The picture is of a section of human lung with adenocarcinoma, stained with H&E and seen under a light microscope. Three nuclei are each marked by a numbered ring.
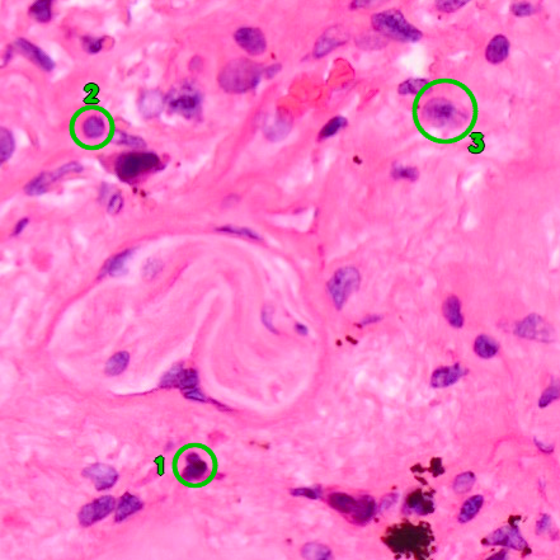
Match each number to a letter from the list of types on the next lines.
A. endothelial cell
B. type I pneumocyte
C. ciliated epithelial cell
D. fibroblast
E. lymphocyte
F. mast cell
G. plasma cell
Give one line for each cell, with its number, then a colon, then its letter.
1: G
2: F
3: D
